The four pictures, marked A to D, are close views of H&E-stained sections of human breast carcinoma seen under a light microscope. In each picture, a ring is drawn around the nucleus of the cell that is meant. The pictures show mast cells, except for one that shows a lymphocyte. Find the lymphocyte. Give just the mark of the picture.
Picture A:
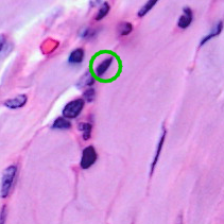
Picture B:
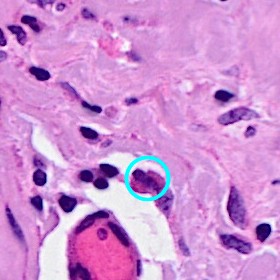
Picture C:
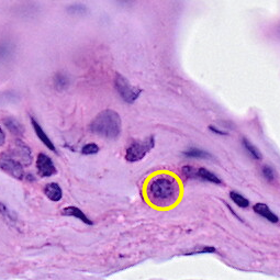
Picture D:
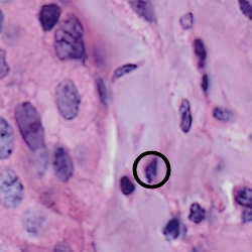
A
